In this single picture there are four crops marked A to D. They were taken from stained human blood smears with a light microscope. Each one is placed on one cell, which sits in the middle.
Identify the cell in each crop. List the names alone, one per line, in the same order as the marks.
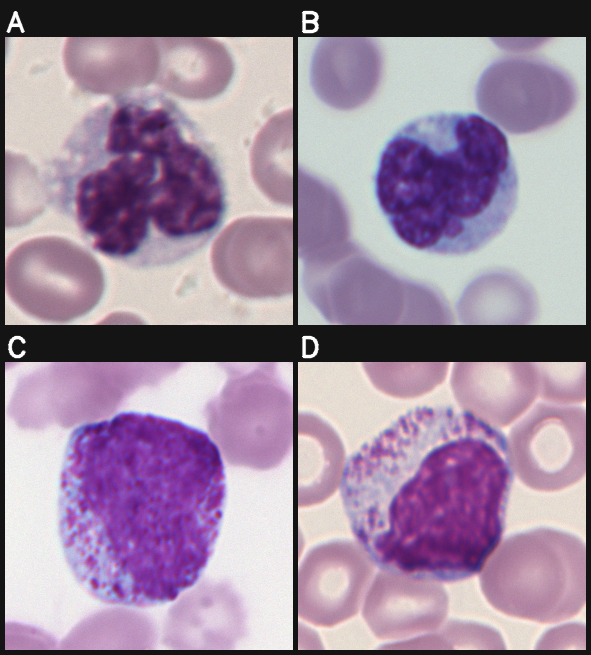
monocyte
monocyte
myelocyte
myelocyte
